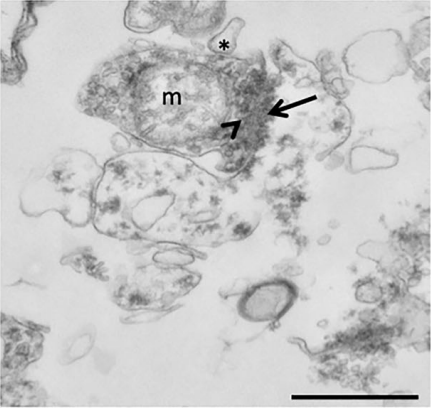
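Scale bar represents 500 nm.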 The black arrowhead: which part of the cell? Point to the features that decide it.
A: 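The arrowhead points to small round vesicular profiles inside the terminal. They lie next to the large round organelle with internal membranes.
Hence: presynaptic vesicles.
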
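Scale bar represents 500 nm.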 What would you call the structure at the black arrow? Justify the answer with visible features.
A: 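Postsynaptic densities. The arrow points to a dense dark patch at the edge of a membrane-bound profile. The dark patch is more electron dense than the surrounding material.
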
